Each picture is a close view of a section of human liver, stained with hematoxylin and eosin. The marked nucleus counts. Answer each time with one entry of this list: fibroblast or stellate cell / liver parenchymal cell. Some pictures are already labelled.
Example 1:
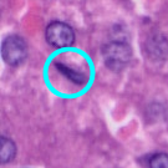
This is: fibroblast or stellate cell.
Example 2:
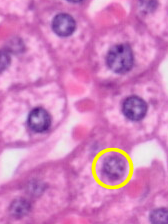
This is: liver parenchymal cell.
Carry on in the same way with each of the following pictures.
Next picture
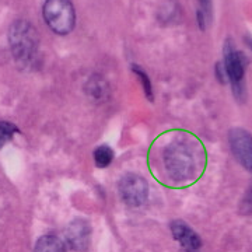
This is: liver parenchymal cell.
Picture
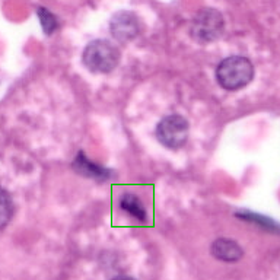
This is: fibroblast or stellate cell.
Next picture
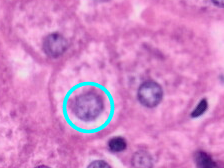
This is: liver parenchymal cell.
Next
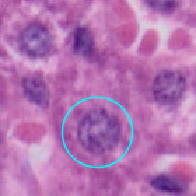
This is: liver parenchymal cell.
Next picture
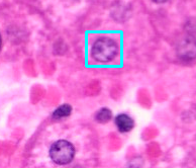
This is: liver parenchymal cell.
